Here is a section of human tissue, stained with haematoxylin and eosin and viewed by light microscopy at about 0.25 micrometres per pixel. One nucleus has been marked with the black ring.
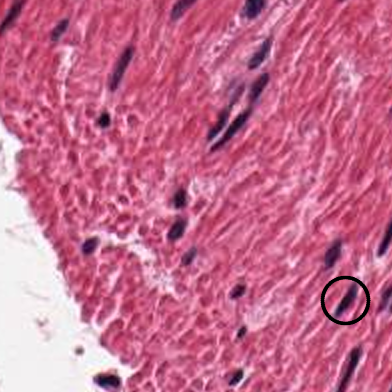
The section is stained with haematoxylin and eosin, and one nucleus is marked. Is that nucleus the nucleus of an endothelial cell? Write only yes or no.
no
